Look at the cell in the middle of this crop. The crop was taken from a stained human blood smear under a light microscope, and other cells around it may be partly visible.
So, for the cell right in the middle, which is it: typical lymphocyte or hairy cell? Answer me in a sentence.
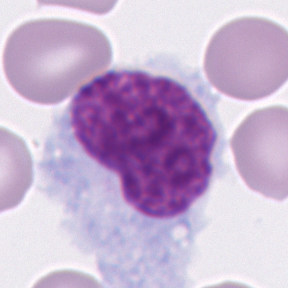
The cell occupying the middle of the crop is a hairy cell.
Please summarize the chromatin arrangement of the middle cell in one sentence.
In this cell the chromatin is fine rather than coarsely clumped.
